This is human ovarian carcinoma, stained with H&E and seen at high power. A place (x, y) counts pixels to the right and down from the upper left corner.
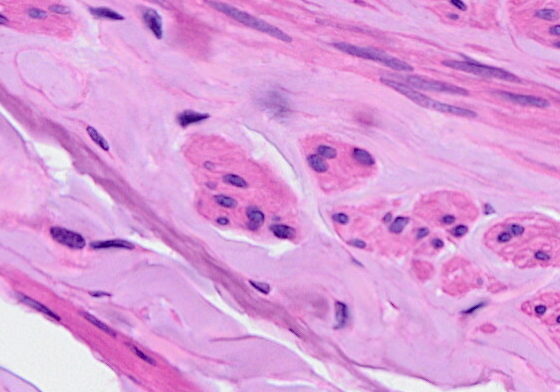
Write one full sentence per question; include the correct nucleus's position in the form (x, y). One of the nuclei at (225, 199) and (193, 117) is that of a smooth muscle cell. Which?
The nucleus whose position is (225, 199) belongs to a smooth muscle cell.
